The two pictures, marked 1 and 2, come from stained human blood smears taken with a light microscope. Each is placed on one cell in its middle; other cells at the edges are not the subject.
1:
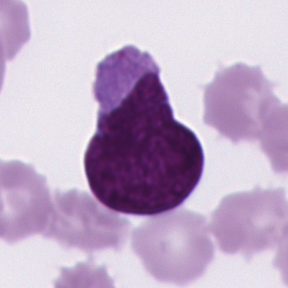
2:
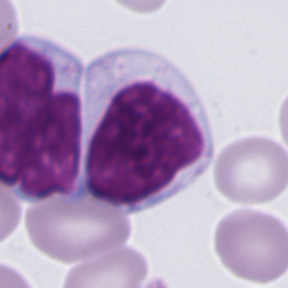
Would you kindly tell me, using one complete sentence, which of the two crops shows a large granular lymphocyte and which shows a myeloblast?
Classification: crop 1 is a myeloblast, crop 2 is a large granular lymphocyte.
